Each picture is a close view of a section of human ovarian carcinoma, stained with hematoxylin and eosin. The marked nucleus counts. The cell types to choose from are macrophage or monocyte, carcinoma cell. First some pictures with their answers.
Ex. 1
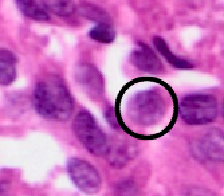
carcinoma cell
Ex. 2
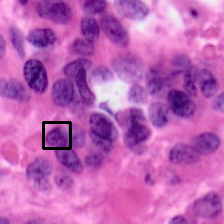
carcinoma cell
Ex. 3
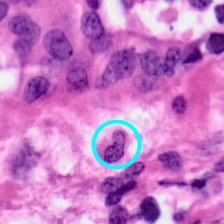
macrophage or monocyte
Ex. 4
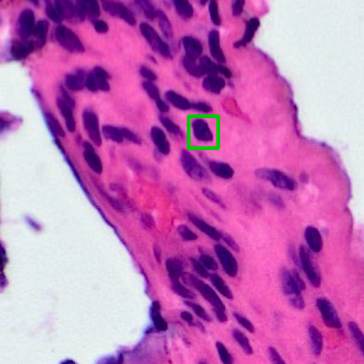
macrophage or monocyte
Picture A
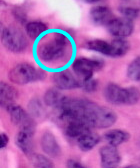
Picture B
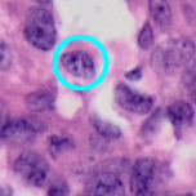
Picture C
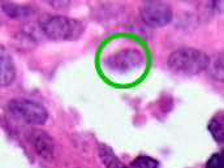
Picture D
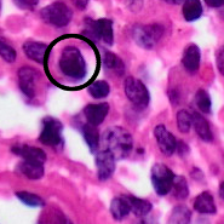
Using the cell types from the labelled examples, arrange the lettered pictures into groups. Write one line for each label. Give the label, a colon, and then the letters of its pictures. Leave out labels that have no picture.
macrophage or monocyte: B
carcinoma cell: A, C, D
